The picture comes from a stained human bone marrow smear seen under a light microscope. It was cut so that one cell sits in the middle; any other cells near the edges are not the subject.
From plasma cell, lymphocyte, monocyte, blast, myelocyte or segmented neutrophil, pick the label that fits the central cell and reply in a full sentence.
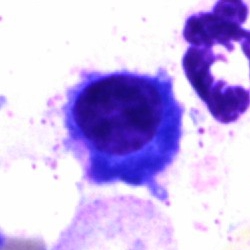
In the crop, the cell of interest at the centre is a plasma cell.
